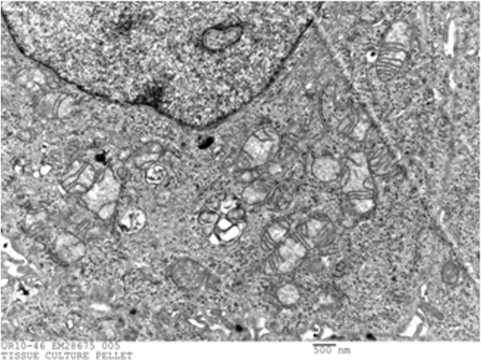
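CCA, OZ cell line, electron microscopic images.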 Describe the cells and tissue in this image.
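Transmission electron micrograph of a cultured cell showing part of a nucleus with a smooth envelope at the top and cytoplasm below containing numerous mitochondria. Many mitochondria appear pale and swollen, with sparse, fragmented or irregularly arranged cristae and clear areas in the matrix. Some smaller mitochondria retain denser matrix and parallel cristae, and small vesicles are scattered through the finely granular cytoplasm.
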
